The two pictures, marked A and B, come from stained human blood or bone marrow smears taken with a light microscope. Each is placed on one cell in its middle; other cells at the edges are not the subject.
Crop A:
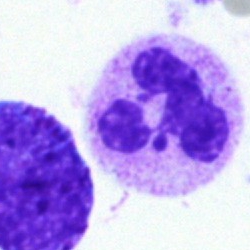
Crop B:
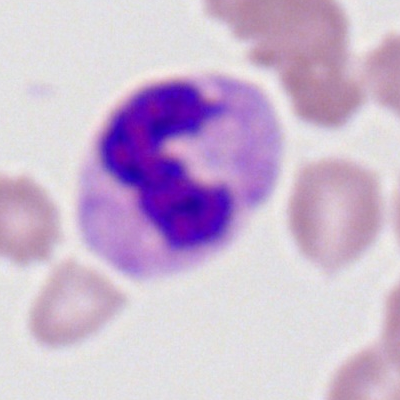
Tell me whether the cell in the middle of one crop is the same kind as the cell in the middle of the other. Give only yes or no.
yes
